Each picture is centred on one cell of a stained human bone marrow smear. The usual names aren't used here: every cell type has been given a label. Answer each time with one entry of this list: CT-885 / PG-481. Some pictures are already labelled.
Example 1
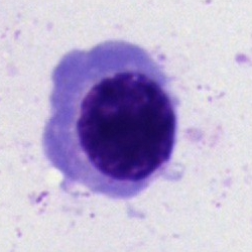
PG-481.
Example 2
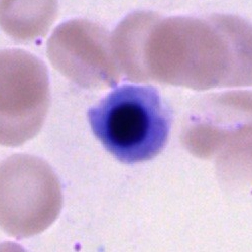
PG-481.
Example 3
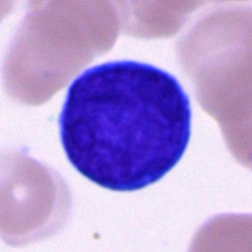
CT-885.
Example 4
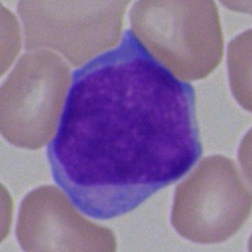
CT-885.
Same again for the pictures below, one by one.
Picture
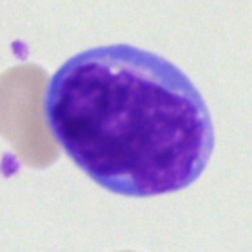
CT-885.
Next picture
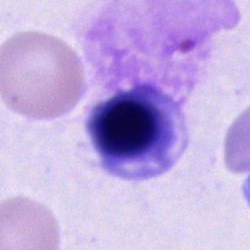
PG-481.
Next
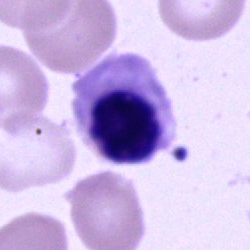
PG-481.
